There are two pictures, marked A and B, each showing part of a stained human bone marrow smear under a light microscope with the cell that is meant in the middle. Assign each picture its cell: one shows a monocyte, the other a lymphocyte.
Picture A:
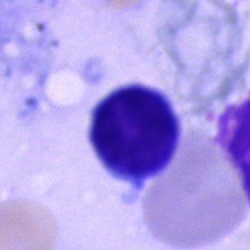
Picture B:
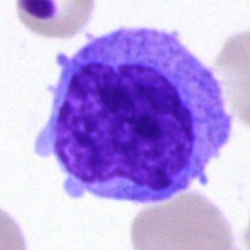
A: lymphocyte
B: monocyte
